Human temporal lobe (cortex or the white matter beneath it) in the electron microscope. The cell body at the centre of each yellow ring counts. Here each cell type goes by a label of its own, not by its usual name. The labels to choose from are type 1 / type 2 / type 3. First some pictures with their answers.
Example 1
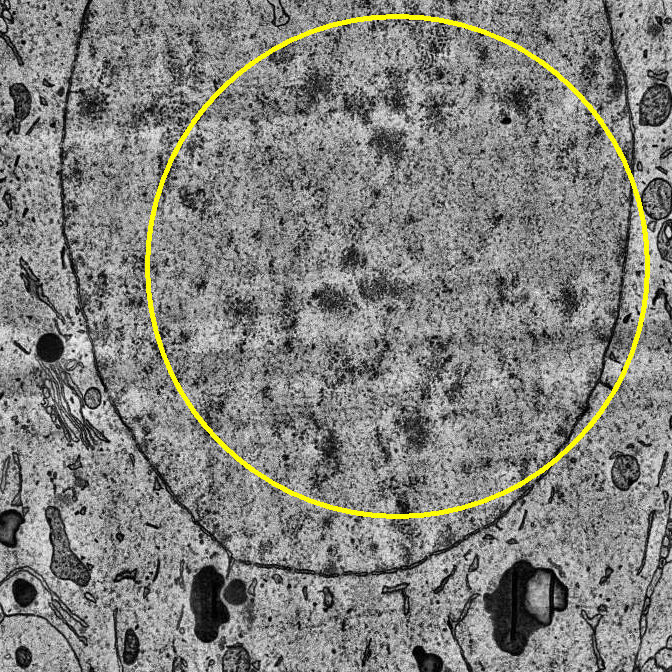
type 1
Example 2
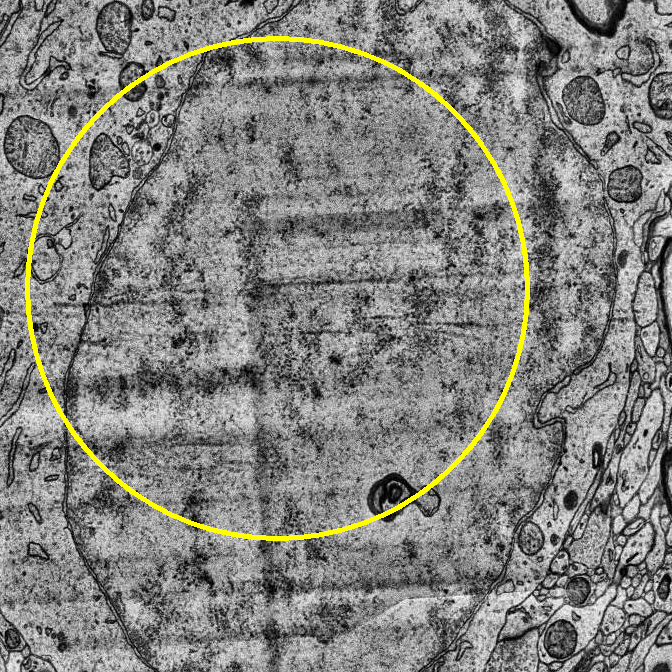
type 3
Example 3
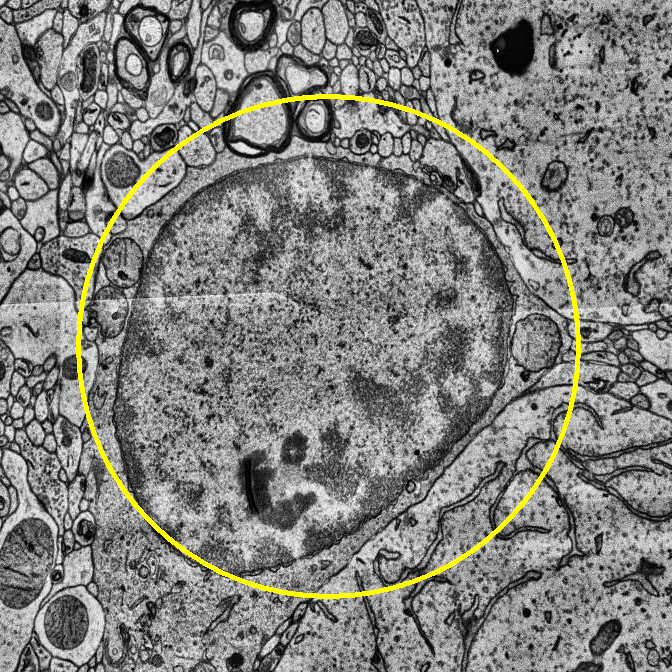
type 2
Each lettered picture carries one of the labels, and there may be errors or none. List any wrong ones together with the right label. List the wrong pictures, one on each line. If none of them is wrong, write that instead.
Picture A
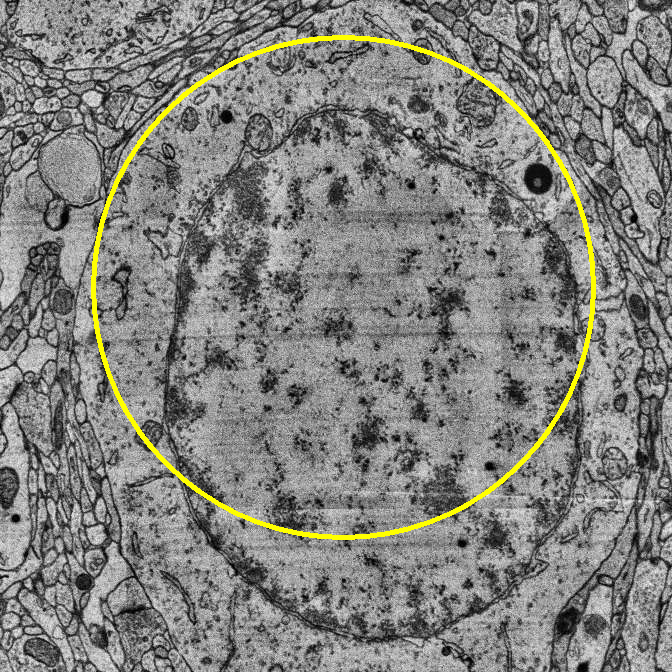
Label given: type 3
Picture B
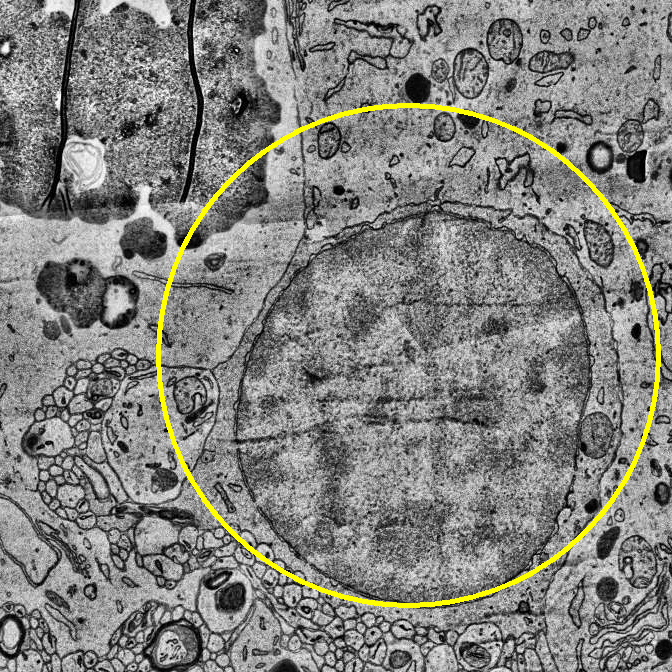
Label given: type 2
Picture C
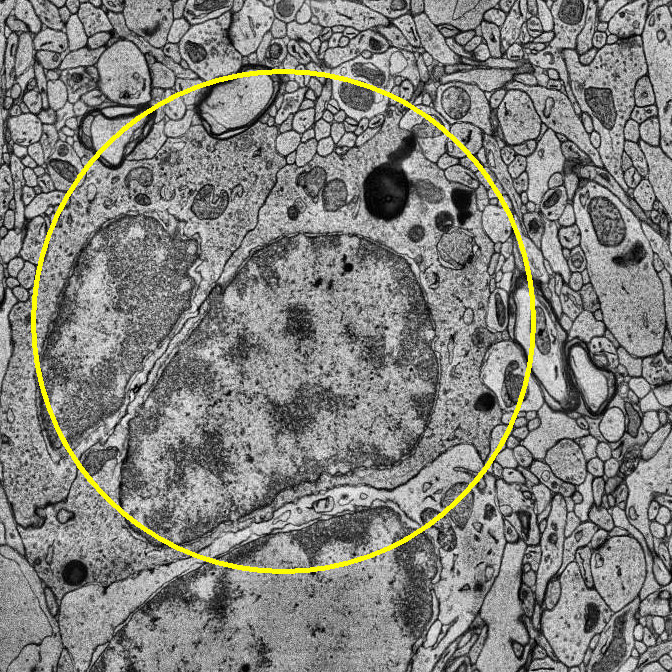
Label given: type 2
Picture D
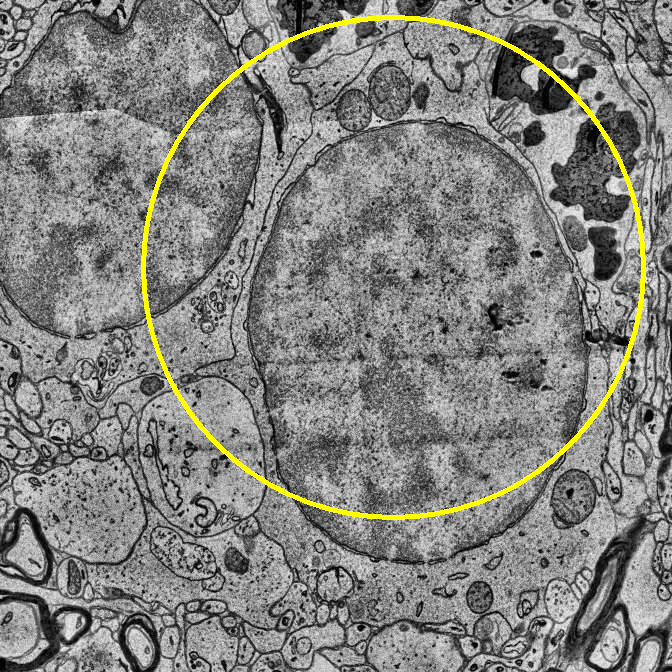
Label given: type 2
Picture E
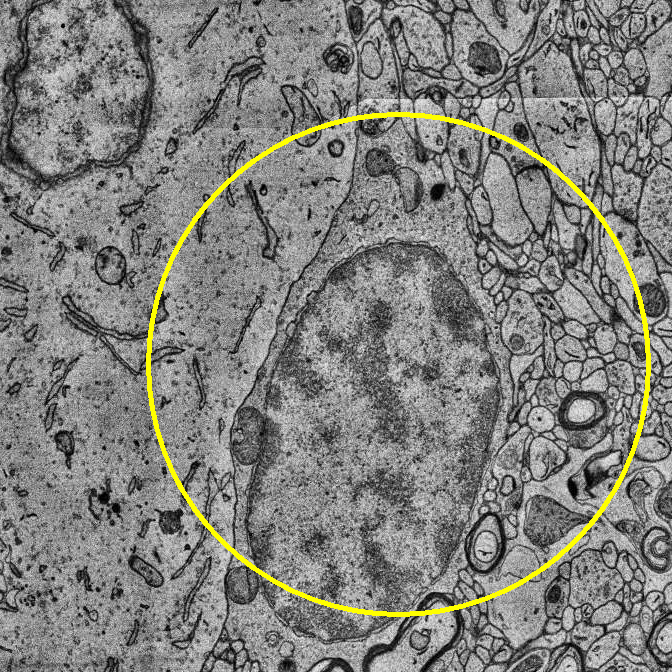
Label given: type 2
A: change type 3 to type 1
